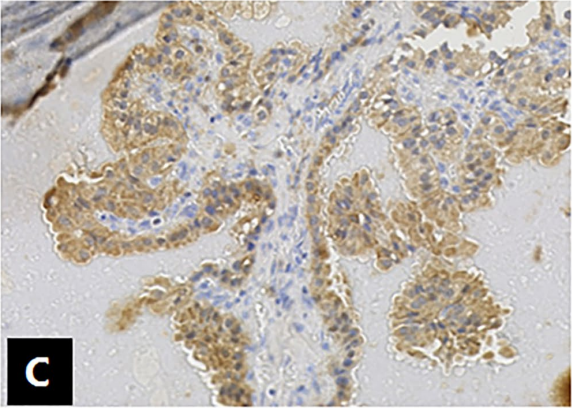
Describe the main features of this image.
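This section shows tumor cells arranged along branching, finger-like fronds. Each frond has a central core of loose connective tissue with small elongated blue nuclei. Several layers of crowded epithelial cells cover these cores.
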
